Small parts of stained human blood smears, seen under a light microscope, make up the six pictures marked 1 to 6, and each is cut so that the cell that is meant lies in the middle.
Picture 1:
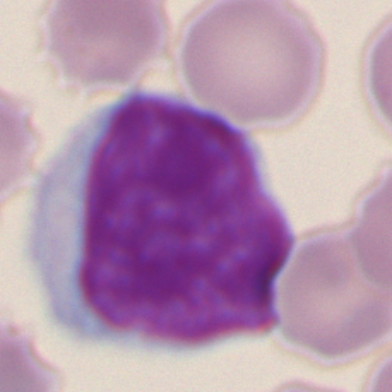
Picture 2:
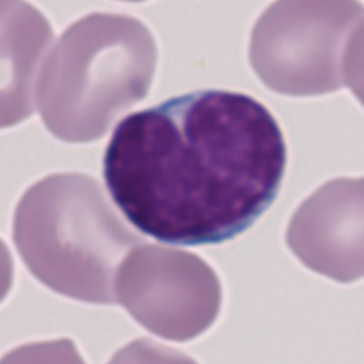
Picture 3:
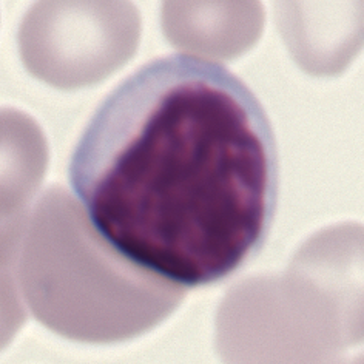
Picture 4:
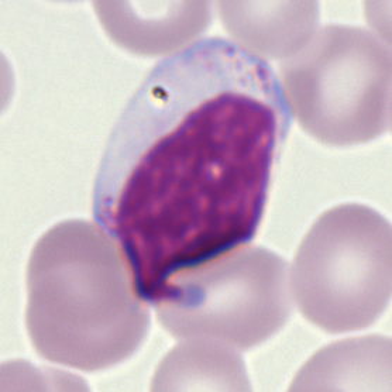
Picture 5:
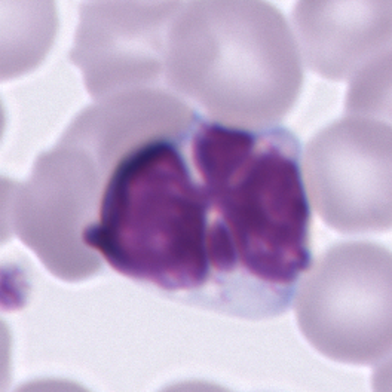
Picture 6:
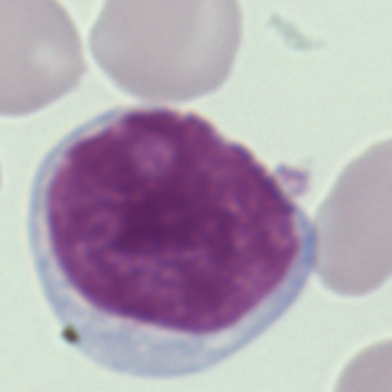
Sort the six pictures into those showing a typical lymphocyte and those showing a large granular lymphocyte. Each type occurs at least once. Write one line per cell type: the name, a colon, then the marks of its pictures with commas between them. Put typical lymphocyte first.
typical lymphocyte: 1, 2, 6
large granular lymphocyte: 3, 4, 5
